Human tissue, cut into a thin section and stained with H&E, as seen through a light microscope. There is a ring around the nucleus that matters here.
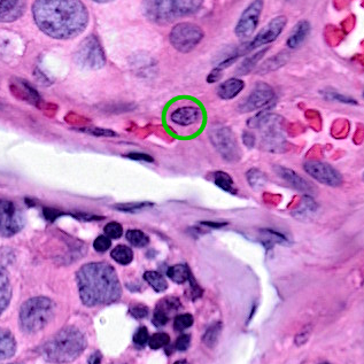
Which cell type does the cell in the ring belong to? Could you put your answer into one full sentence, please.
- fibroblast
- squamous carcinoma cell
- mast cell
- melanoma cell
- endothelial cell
In this field of tissue, the cell in the ring is a mast cell.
